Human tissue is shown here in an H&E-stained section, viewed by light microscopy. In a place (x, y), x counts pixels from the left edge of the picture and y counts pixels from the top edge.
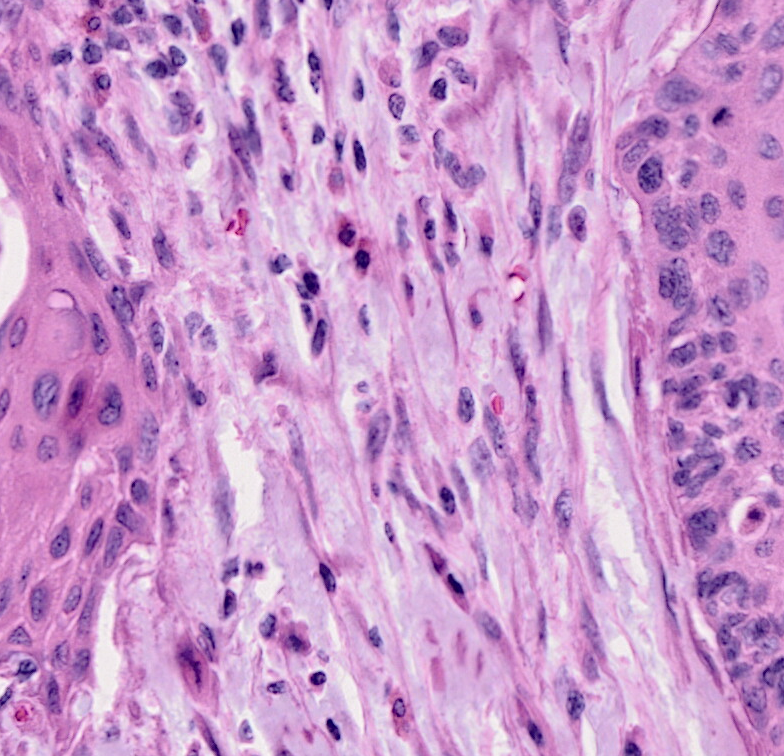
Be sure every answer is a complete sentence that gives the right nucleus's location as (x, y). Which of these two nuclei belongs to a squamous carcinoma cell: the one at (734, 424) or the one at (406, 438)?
The one at (734, 424) is the nucleus belonging to a squamous carcinoma cell, not the other one.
